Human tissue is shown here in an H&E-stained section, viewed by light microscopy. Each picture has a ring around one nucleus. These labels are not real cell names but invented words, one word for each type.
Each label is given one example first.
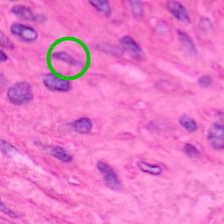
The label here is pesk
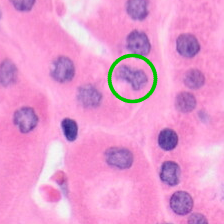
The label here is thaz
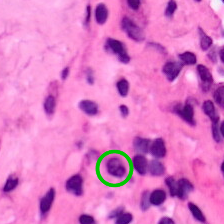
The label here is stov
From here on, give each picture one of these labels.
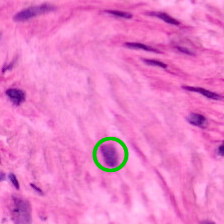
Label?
pesk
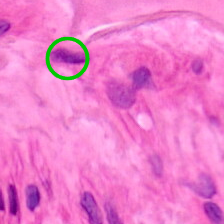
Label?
pesk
